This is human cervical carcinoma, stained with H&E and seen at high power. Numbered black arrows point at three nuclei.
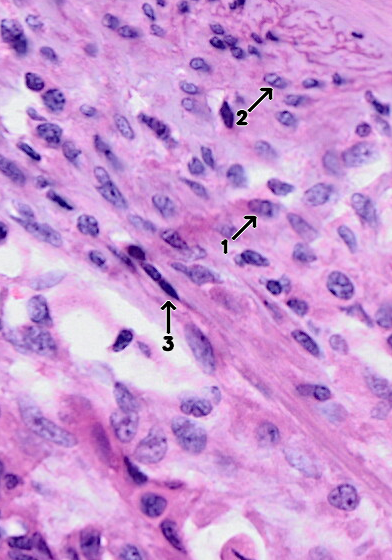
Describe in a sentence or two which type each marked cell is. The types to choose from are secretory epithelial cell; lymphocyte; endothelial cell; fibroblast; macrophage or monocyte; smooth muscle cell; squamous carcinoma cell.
Cell 1 is a macrophage or monocyte. Cell 2 is a smooth muscle cell. Cell 3 is a lymphocyte.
